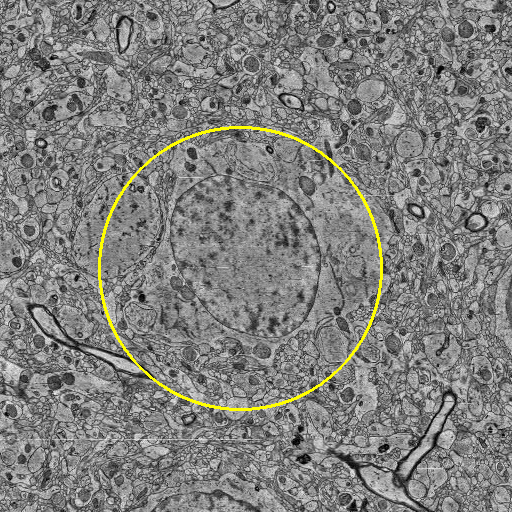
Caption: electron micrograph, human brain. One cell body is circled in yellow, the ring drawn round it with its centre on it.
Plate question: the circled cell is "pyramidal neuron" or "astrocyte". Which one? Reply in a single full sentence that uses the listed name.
The yellow ring on the plate is centred on an astrocyte, going by the listed names.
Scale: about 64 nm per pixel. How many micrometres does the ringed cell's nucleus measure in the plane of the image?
In this plane, about 12 micrometres in length and 9 in width.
